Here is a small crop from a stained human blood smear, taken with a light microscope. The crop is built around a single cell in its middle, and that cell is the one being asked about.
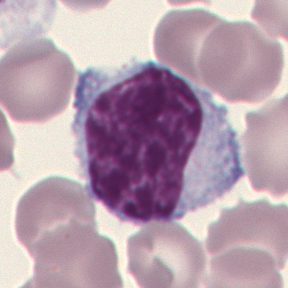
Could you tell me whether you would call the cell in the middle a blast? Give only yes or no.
no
